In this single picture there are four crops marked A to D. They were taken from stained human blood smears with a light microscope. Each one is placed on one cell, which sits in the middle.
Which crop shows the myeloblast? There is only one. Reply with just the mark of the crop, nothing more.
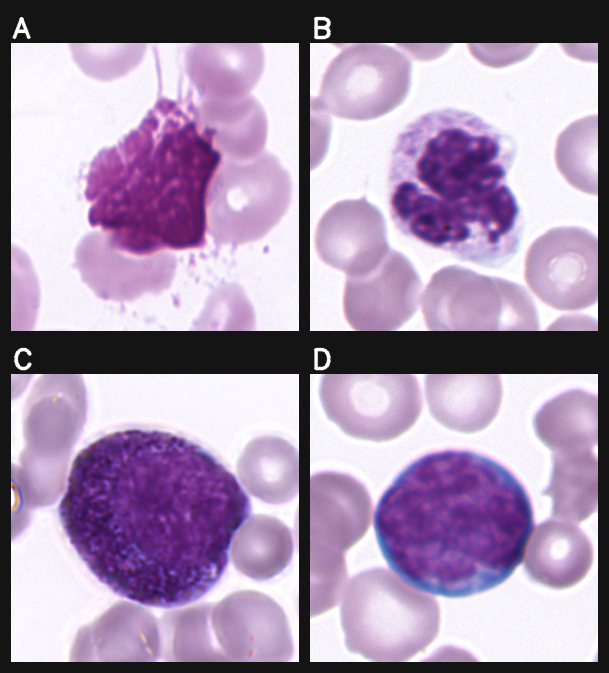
D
